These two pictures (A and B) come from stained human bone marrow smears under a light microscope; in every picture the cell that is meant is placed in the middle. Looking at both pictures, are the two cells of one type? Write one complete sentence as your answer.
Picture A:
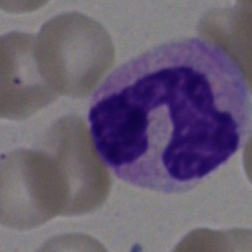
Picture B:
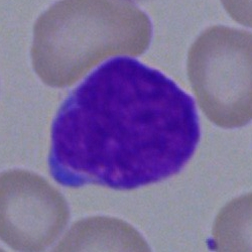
No. Picture A shows a band neutrophil, but picture B shows a blast.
